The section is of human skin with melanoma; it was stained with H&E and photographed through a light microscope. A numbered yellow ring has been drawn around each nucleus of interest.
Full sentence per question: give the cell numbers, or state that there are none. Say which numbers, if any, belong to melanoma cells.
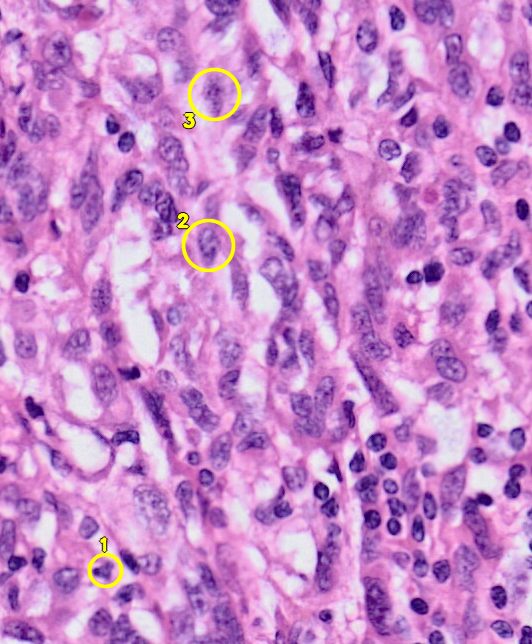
The cells with numbers 2 and 3 are melanoma cells by type.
